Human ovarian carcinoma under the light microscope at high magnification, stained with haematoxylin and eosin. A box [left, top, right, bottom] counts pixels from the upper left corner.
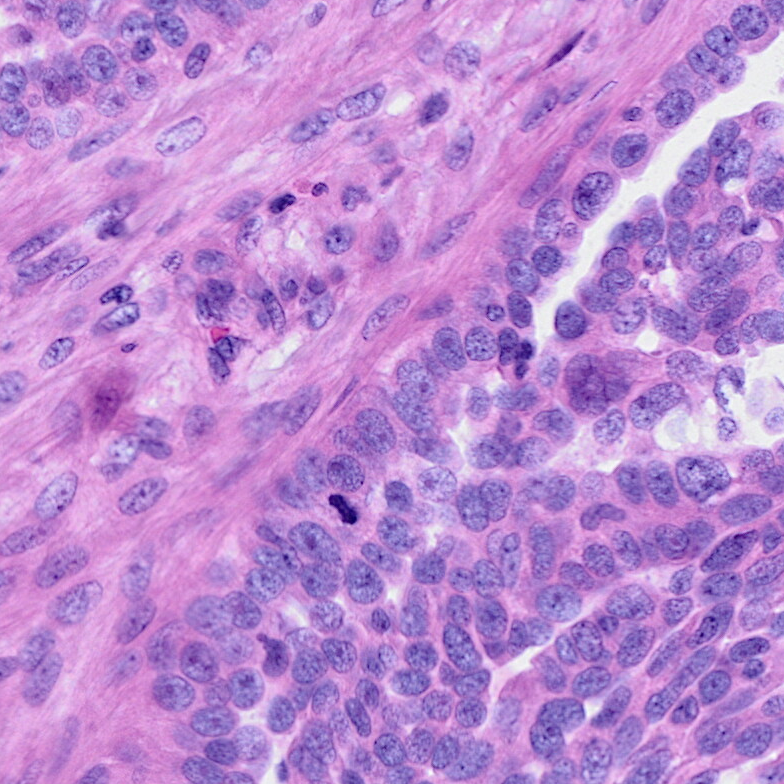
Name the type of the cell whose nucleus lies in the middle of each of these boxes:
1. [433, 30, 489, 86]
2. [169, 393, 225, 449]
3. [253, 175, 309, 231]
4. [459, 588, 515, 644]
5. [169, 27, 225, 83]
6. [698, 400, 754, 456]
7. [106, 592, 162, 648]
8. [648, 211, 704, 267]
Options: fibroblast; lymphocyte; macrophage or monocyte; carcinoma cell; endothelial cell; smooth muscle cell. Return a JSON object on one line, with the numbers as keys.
{"1": "fibroblast", "2": "fibroblast", "3": "lymphocyte", "4": "carcinoma cell", "5": "macrophage or monocyte", "6": "macrophage or monocyte", "7": "fibroblast", "8": "carcinoma cell"}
